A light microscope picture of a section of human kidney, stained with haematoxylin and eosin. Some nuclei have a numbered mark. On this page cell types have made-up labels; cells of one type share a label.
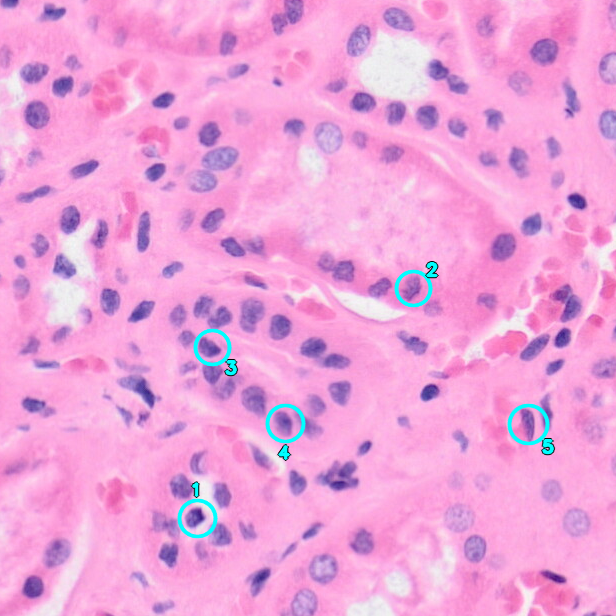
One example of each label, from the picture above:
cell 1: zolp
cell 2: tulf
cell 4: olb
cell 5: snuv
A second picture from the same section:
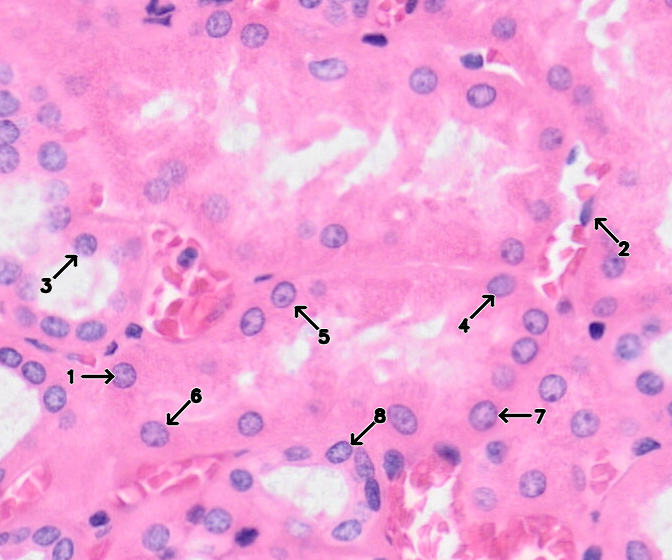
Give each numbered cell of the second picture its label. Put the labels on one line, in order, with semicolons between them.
tulf; snuv; zolp; tulf; tulf; tulf; tulf; olb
